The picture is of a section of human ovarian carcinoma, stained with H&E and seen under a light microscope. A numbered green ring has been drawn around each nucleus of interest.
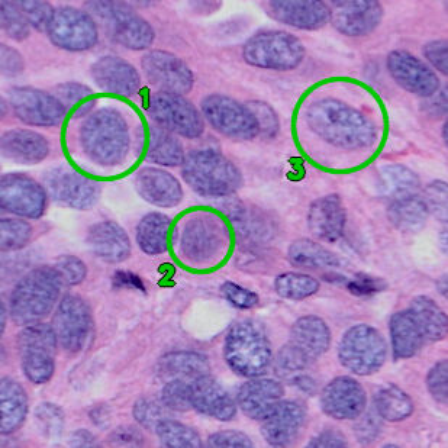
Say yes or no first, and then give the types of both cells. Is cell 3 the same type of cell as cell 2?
No, cell 3 is a fibroblast, and cell 2, in contrast, is a carcinoma cell.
